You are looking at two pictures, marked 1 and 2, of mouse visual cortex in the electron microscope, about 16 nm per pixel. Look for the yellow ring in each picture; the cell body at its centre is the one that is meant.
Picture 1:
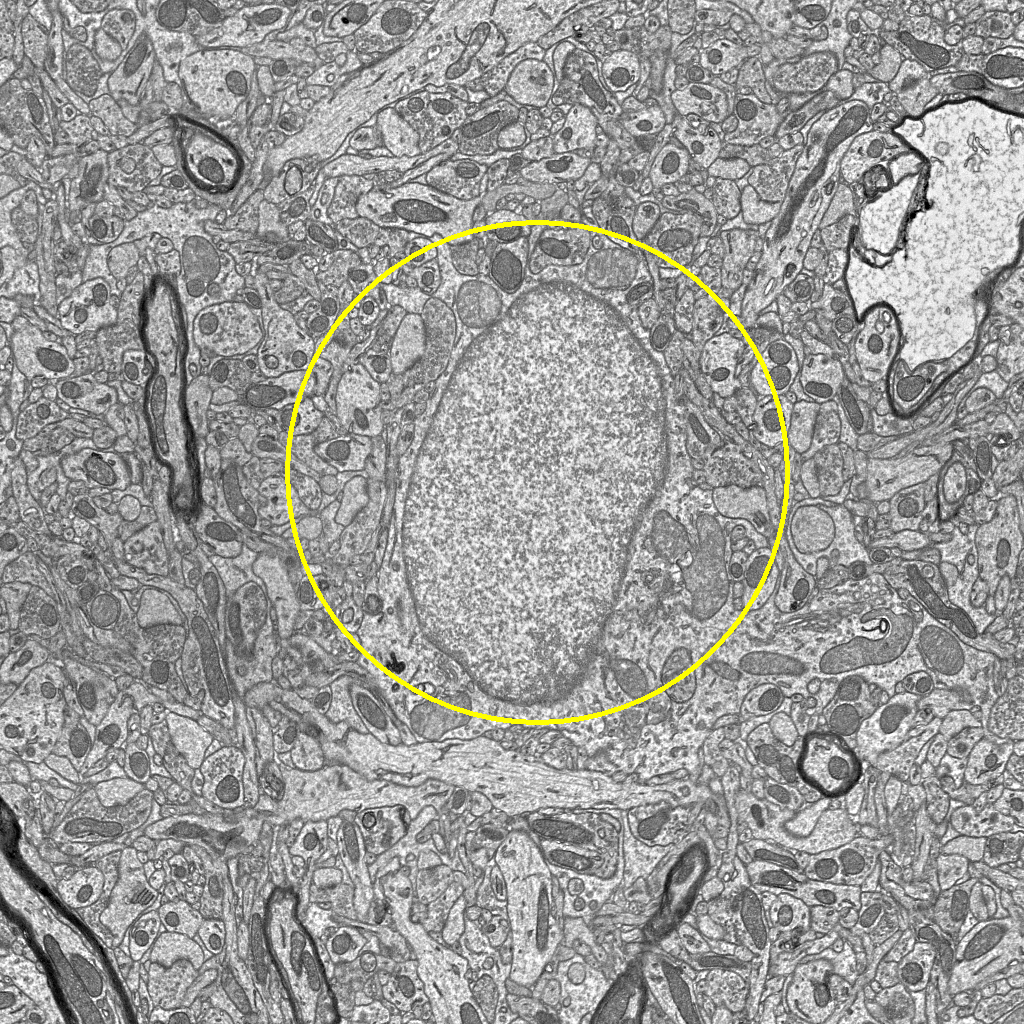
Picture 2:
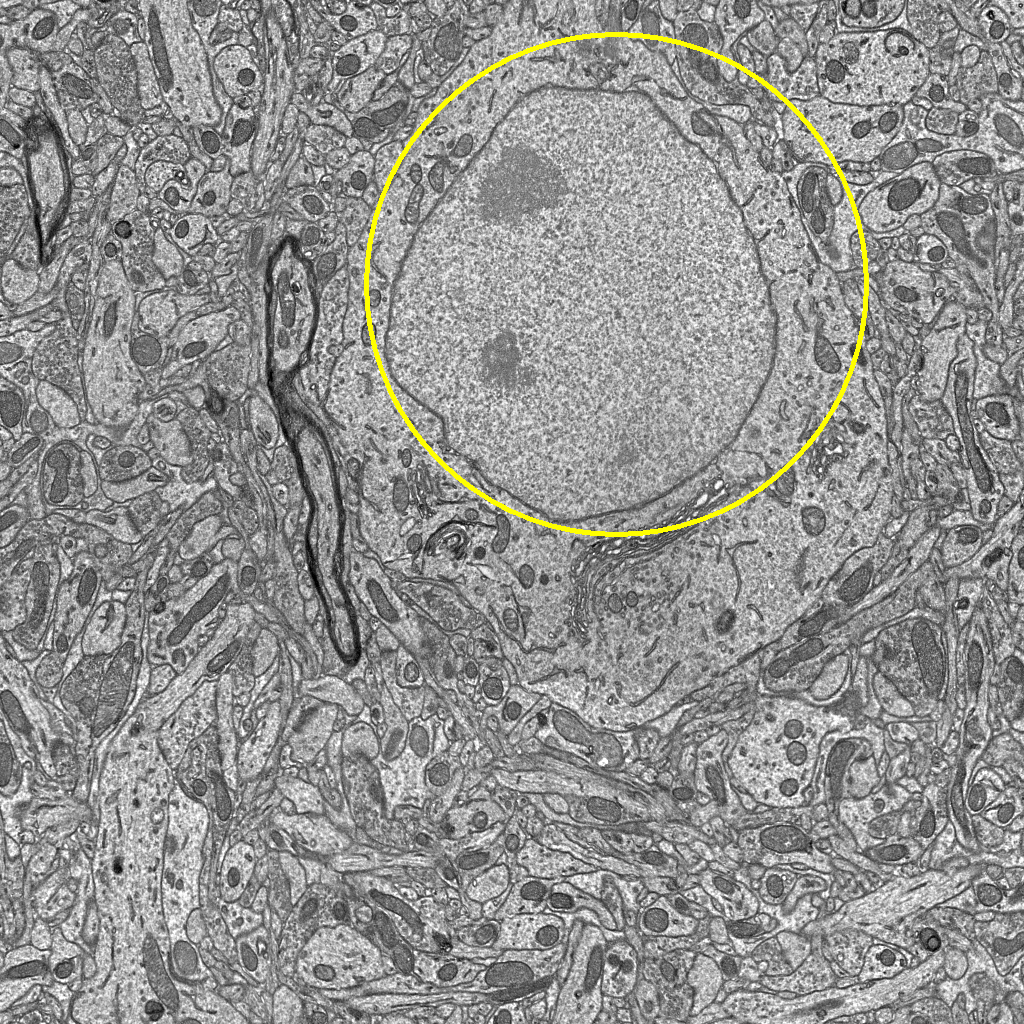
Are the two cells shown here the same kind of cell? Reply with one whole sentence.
No, the types are not the same, since picture 1 shows an astrocyte and picture 2 an excitatory neuron.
